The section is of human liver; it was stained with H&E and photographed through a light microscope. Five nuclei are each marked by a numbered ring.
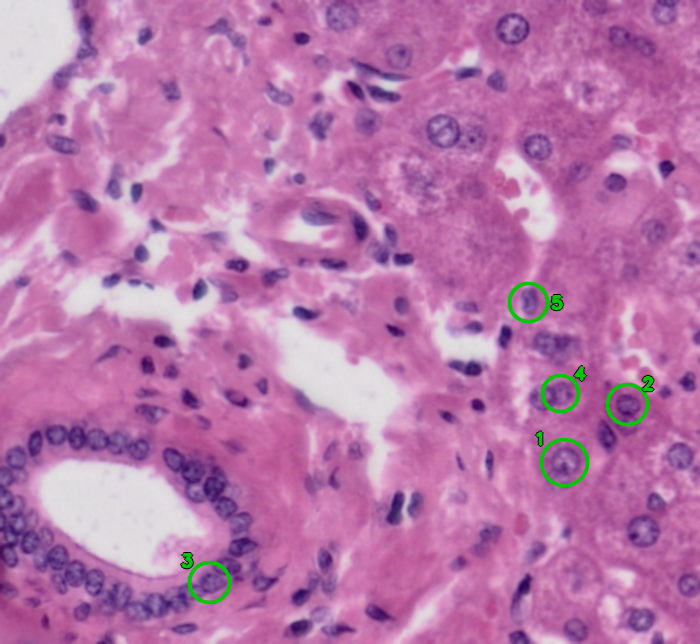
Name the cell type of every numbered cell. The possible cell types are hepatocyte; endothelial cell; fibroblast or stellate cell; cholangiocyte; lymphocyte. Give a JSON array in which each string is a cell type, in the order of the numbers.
["hepatocyte", "hepatocyte", "cholangiocyte", "hepatocyte", "fibroblast or stellate cell"]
